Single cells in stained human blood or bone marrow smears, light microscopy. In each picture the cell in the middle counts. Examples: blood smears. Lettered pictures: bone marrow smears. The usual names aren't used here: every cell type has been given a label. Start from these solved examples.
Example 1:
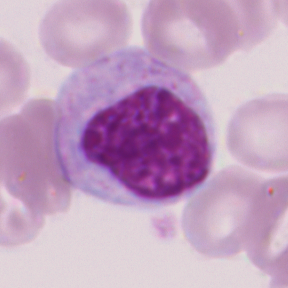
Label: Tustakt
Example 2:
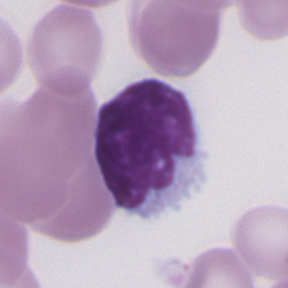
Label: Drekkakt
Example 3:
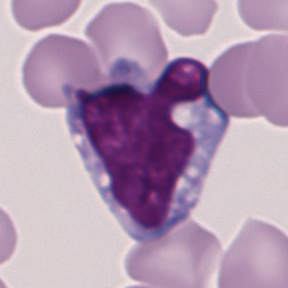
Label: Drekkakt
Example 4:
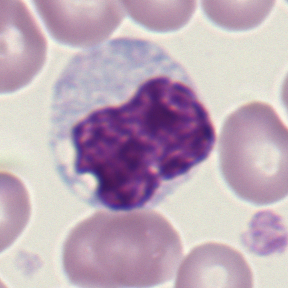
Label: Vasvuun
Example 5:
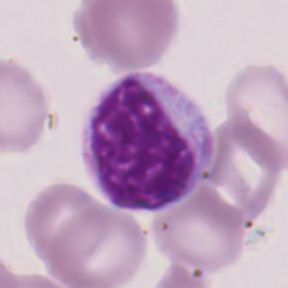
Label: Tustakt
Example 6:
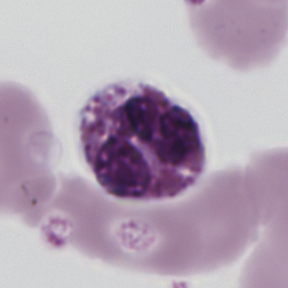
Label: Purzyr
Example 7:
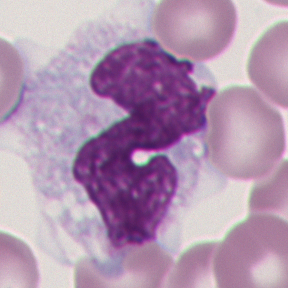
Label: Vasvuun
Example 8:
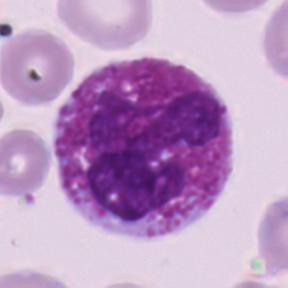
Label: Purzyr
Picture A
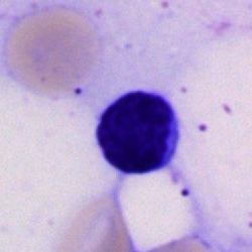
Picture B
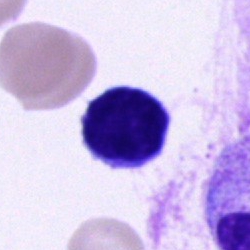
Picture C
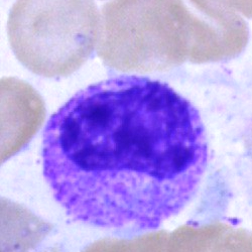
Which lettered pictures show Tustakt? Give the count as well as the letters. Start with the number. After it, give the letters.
1, namely C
